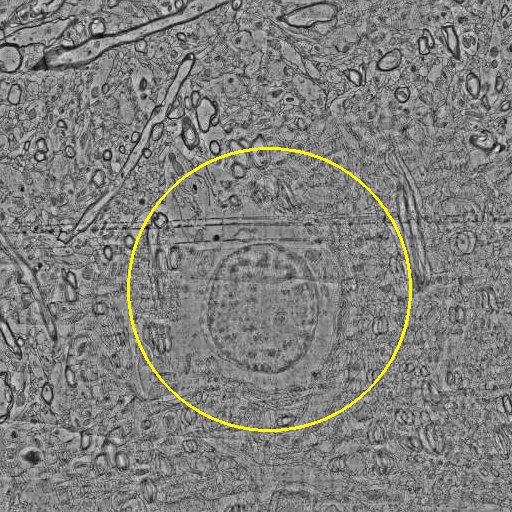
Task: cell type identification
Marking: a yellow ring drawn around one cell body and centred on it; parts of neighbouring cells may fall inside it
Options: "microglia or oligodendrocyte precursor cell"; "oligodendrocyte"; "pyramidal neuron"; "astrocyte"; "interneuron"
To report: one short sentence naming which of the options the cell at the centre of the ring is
The cell at the centre of the ring is an astrocyte.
